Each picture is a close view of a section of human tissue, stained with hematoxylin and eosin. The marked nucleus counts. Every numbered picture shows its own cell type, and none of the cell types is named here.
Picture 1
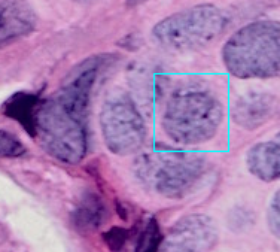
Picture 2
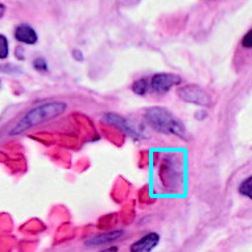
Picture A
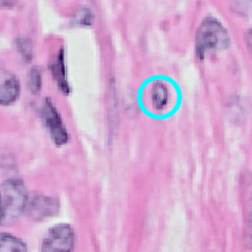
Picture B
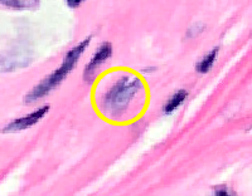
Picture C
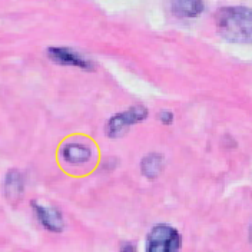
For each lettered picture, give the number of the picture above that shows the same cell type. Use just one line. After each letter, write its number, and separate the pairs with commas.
A 2, B 2, C 2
